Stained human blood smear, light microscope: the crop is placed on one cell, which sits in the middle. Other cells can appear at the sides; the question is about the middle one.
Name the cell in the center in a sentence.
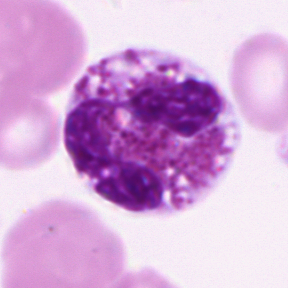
Centred in the crop is an eosinophil.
